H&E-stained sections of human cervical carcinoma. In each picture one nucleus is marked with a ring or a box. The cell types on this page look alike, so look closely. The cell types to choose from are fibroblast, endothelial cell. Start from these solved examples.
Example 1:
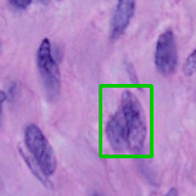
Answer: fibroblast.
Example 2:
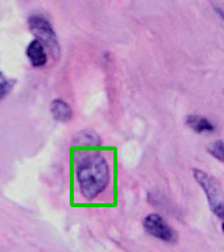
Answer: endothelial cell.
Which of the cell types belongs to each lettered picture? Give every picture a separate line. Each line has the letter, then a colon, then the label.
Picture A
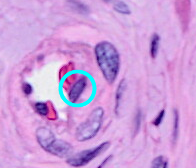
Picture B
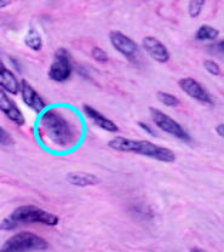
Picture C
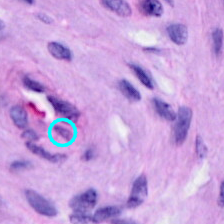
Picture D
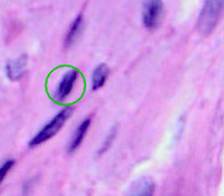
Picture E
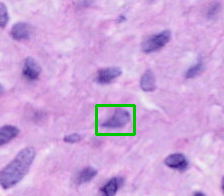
A: endothelial cell.
B: endothelial cell.
C: endothelial cell.
D: fibroblast.
E: fibroblast.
